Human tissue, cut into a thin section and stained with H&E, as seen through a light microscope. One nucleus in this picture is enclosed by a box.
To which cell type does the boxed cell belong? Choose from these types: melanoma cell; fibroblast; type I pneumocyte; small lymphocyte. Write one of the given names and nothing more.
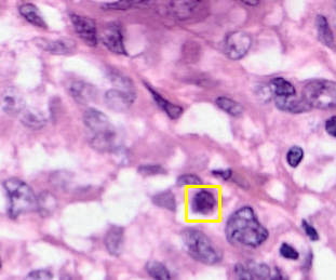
melanoma cell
